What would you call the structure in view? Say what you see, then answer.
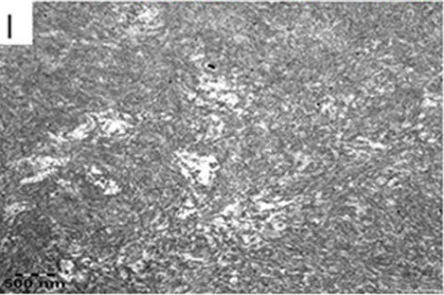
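The field is filled with fine short thread-like elements. The threads run in no common direction. On this evidence: fibrils.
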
